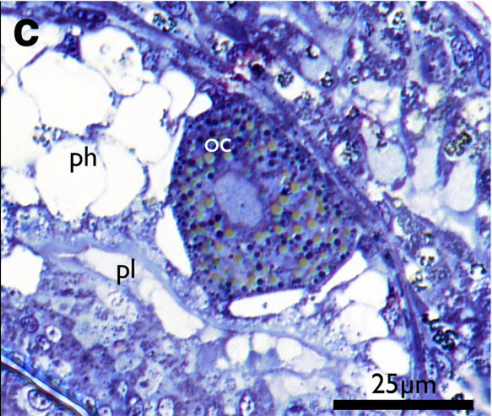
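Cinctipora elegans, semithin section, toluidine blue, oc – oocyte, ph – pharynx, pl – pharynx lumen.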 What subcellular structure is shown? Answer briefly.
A: yolk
